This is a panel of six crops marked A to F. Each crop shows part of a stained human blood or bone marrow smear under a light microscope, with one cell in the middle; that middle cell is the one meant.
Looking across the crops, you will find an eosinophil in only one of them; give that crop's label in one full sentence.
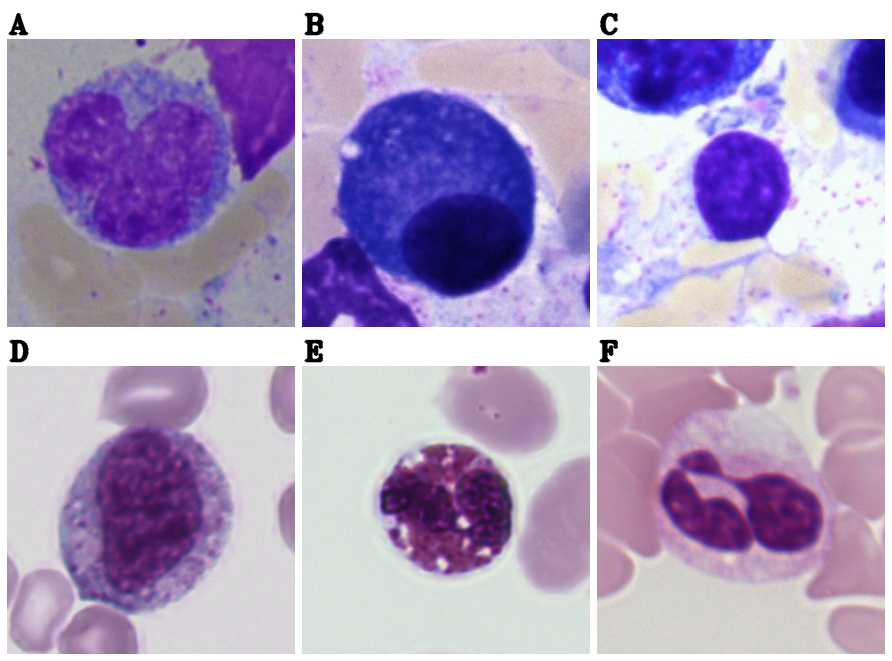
Crop E, and no other, shows an eosinophil.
